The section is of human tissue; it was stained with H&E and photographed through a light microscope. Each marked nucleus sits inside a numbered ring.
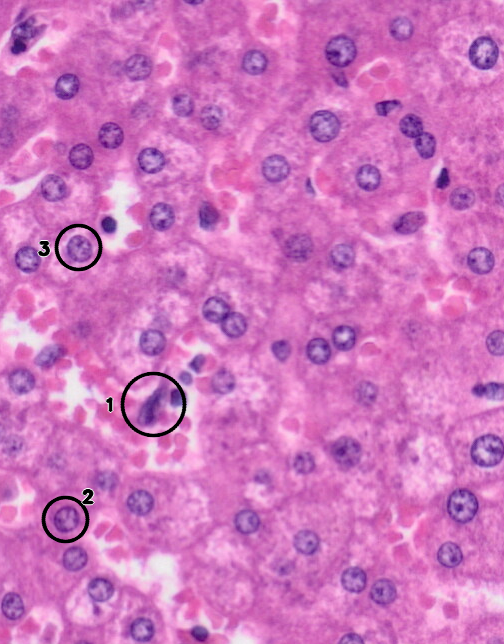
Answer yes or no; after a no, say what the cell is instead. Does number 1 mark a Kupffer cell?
Yes.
